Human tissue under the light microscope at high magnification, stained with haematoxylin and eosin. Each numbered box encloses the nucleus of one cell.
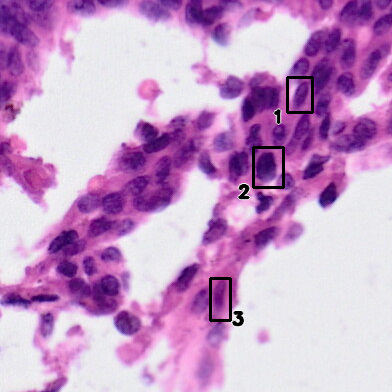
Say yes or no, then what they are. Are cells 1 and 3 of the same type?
No, cell 1 is a carcinoma cell and cell 3 is an endothelial cell.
